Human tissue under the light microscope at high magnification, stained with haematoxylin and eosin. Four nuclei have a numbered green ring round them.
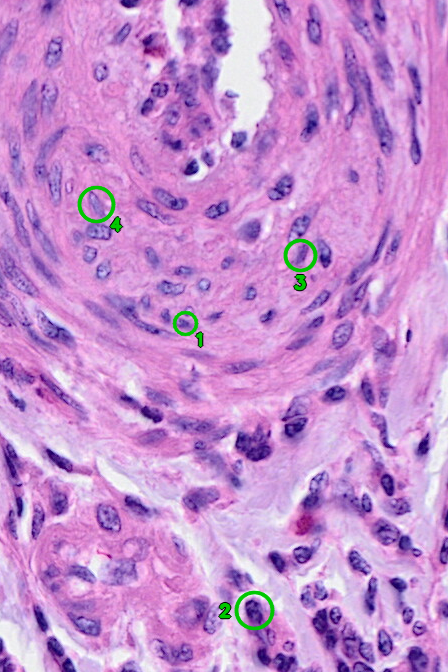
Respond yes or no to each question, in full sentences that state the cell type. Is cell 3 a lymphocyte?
No, what is marked as number 3 is a smooth muscle cell rather than a lymphocyte.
